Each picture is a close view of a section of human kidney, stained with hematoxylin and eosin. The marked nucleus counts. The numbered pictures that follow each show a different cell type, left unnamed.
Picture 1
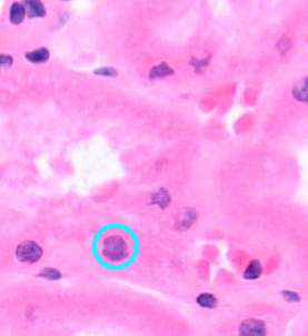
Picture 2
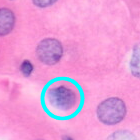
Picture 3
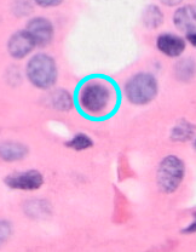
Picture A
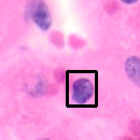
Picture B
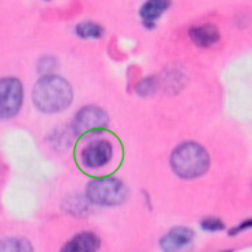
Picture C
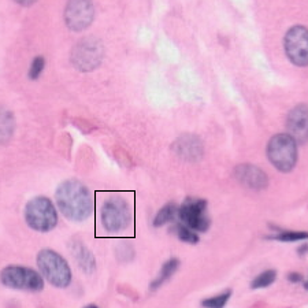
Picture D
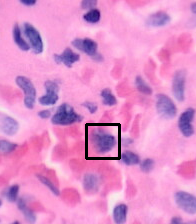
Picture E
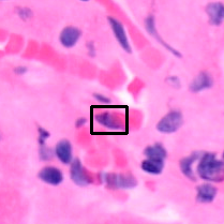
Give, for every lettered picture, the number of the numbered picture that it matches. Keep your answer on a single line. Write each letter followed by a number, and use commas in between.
A 1, B 3, C 3, D 2, E 2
